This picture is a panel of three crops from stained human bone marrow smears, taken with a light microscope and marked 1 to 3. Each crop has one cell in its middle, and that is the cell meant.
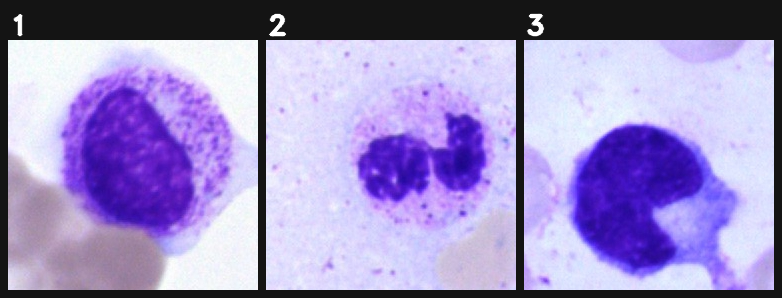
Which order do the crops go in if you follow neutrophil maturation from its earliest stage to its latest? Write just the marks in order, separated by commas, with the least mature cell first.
1, 3, 2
